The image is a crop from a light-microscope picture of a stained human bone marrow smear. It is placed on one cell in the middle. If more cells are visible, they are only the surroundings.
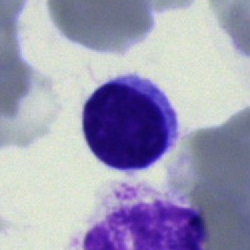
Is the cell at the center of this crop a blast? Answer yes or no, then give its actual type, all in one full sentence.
No, the cell located centrally is a lymphocyte rather than a blast.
